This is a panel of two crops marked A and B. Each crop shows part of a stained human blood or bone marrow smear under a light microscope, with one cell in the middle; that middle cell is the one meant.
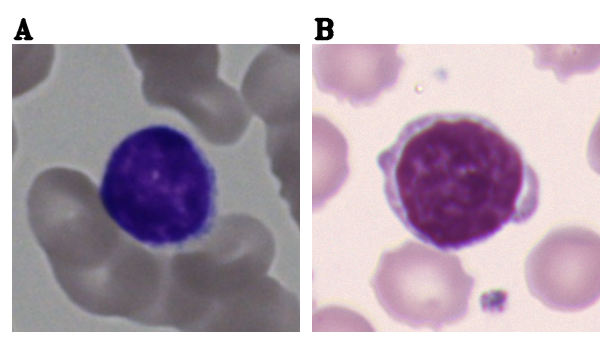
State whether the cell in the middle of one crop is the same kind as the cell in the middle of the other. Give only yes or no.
yes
